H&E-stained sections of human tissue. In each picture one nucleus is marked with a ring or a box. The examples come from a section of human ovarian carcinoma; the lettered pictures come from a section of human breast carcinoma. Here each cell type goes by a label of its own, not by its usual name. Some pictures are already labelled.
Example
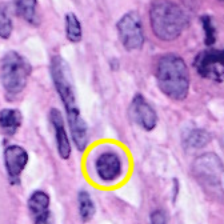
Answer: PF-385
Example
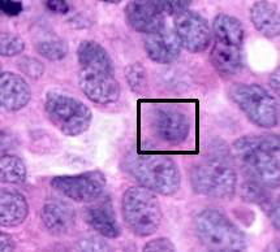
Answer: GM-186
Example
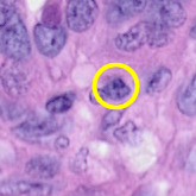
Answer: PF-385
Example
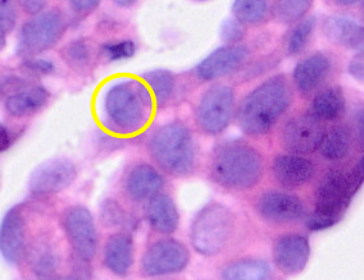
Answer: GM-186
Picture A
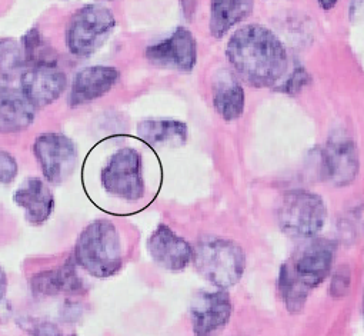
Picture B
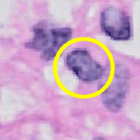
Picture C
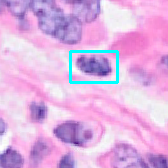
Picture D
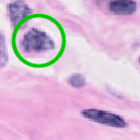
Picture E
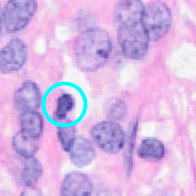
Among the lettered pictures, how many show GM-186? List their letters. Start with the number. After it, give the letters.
Count: 2 (A, B)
